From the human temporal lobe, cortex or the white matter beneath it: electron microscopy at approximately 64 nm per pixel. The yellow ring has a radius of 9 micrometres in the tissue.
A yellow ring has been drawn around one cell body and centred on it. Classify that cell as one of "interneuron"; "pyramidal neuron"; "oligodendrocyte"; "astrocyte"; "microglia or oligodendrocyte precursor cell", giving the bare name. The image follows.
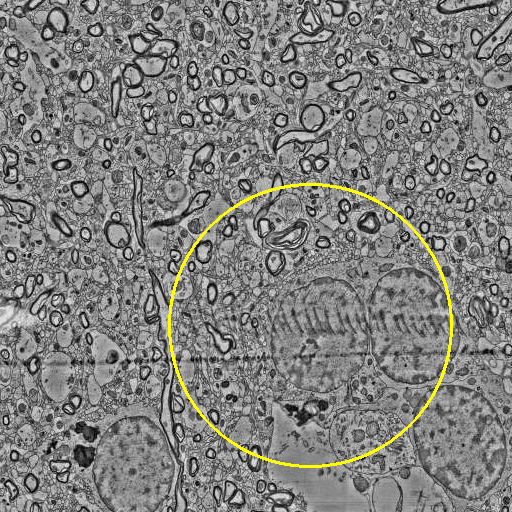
oligodendrocyte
